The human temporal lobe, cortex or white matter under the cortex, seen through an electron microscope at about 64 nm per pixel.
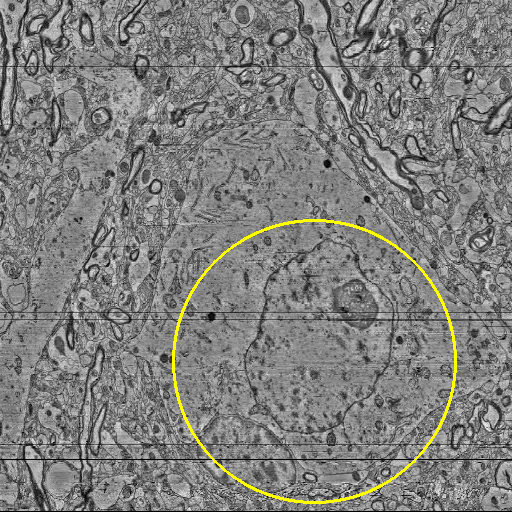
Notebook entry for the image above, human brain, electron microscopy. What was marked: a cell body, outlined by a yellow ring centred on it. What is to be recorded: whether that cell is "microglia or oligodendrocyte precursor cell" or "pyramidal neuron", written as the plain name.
pyramidal neuron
